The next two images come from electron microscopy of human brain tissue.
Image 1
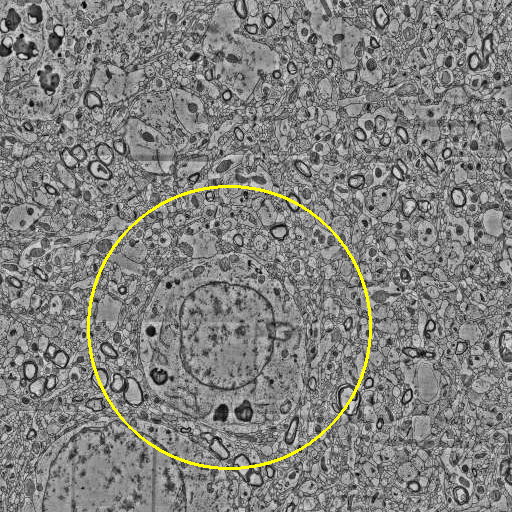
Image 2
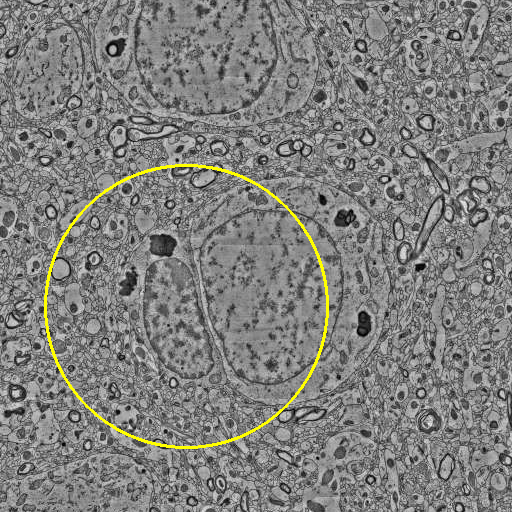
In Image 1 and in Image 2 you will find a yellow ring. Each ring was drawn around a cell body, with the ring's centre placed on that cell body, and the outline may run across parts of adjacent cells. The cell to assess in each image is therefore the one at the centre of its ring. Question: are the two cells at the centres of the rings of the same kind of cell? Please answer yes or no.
no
